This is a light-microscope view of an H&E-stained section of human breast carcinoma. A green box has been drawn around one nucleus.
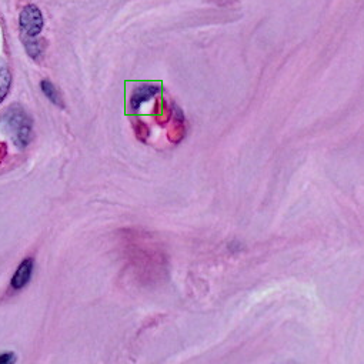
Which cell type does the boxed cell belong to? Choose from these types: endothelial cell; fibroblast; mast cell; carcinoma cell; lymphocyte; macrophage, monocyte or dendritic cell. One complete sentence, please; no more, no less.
By cell type, the boxed cell is an endothelial cell.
